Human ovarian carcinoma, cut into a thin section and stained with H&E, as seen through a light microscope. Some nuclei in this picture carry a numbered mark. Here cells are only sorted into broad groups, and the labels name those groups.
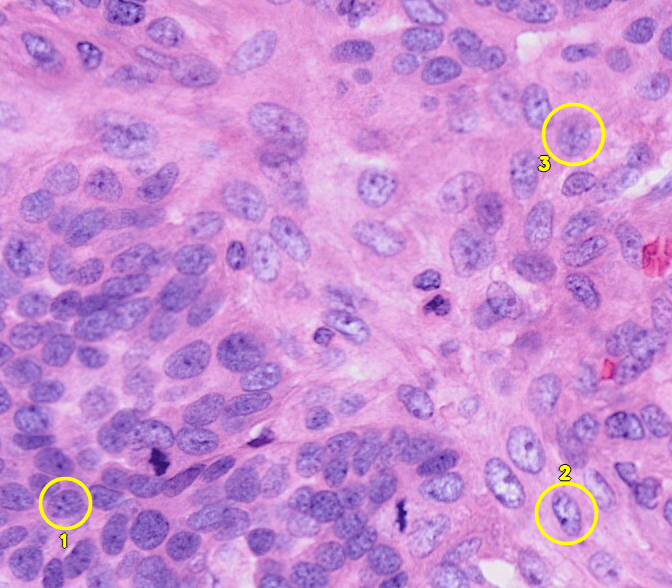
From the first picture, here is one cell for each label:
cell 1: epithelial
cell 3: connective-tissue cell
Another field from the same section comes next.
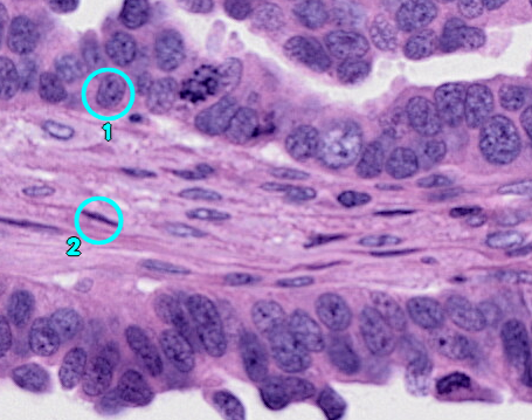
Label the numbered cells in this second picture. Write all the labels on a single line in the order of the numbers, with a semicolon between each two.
epithelial; connective-tissue cell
